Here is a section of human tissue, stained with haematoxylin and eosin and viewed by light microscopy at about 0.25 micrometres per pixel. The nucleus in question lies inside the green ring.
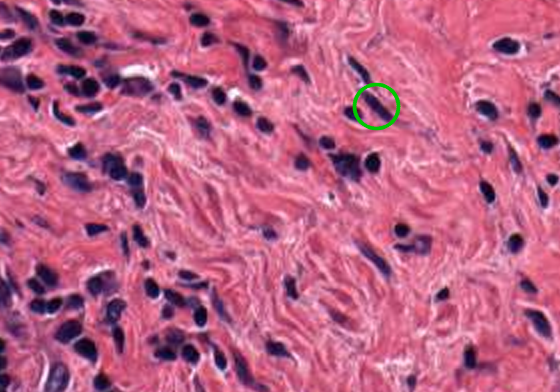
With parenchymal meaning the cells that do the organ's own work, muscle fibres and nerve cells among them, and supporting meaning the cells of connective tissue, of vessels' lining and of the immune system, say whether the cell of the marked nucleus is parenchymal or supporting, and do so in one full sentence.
A supporting cell is the cell in which the marked nucleus is found.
